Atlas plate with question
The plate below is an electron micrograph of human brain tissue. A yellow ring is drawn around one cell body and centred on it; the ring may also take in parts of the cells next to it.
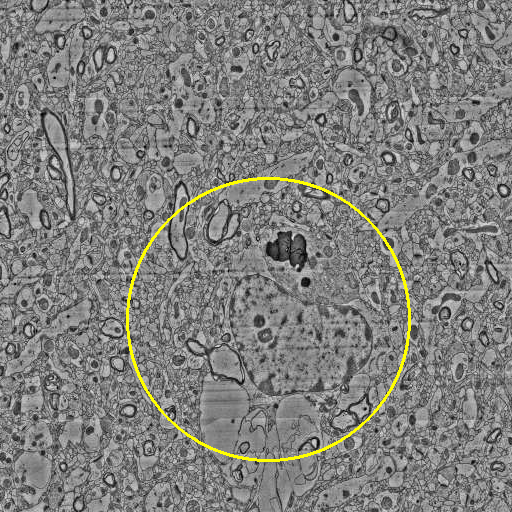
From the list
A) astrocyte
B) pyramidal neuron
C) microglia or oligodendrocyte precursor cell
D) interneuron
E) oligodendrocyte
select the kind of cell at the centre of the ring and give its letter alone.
C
